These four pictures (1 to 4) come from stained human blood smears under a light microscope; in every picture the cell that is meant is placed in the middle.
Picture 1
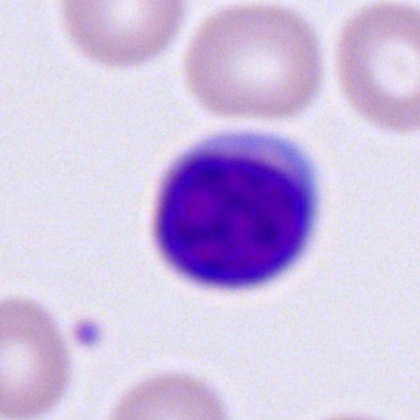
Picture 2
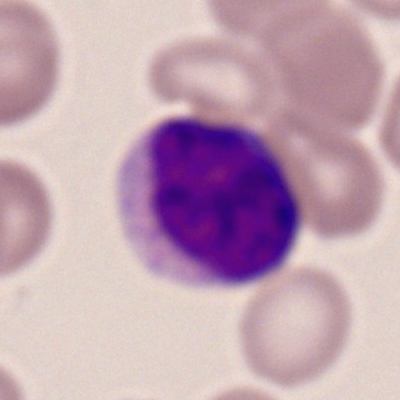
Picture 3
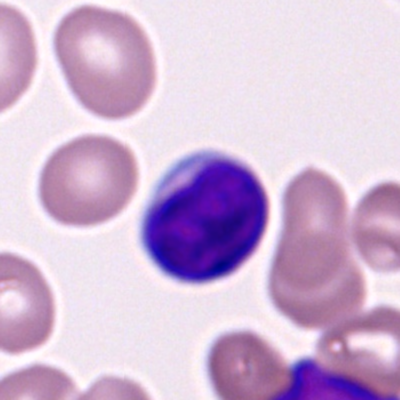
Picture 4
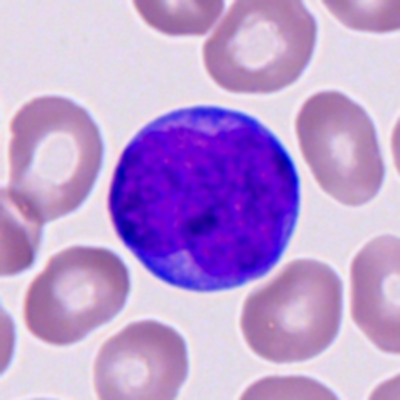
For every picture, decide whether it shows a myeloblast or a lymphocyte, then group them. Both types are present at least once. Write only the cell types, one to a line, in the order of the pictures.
lymphocyte
lymphocyte
lymphocyte
myeloblast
